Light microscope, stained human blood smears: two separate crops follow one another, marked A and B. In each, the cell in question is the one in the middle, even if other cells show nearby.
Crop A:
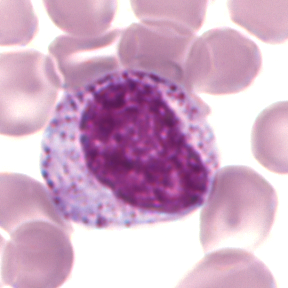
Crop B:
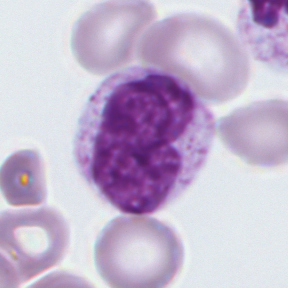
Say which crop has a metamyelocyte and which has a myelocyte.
A: myelocyte
B: metamyelocyte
